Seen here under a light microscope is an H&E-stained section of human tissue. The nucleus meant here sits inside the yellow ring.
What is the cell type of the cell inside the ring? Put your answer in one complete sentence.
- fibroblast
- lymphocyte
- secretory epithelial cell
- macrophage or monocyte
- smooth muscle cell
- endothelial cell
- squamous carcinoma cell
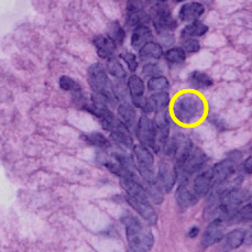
By its classification, the cell inside the ring is a secretory epithelial cell.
